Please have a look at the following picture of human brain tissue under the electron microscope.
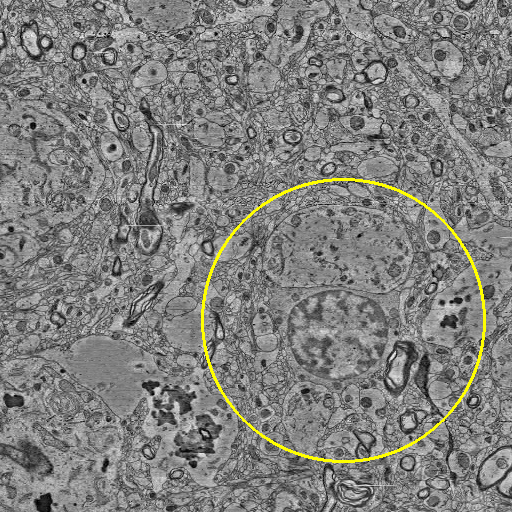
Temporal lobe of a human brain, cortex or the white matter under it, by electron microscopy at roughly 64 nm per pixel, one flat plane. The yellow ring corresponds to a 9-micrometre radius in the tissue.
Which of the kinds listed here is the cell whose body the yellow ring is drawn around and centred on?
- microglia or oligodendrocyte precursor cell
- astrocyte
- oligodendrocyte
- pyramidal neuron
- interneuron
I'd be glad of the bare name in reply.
oligodendrocyte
